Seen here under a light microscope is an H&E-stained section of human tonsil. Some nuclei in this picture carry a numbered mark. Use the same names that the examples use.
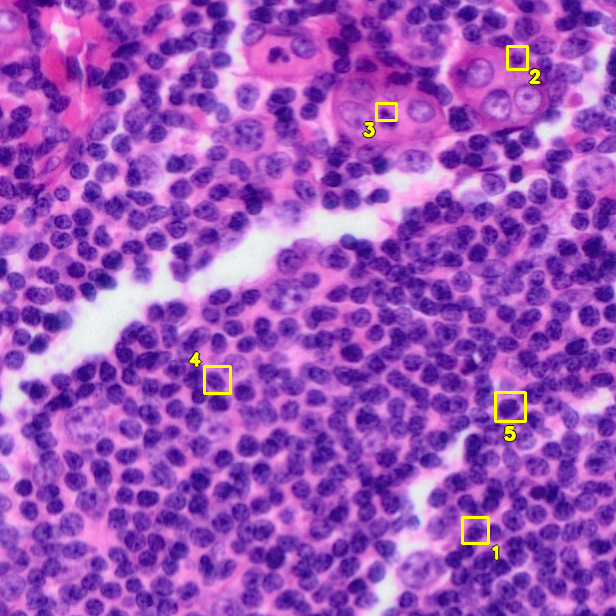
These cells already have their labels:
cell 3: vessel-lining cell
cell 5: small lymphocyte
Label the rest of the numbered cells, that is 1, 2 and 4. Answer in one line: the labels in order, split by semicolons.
small lymphocyte; vessel-lining cell; small lymphocyte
